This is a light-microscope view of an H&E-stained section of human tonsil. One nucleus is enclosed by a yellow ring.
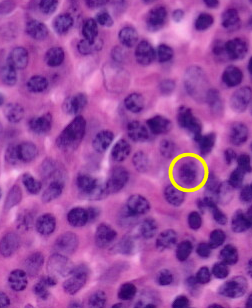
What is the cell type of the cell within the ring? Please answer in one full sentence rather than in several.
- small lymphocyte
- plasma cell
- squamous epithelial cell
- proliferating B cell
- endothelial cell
The correct response here is that the cell within the ring is a plasma cell.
